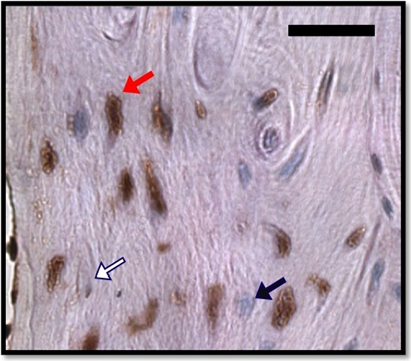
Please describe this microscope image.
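Cortical bone with osteocytes scattered singly in lacunae within pale pink-purple lamellar matrix. Most osteocytes are oval to spindle-shaped and stained brown, while a few show only blue-counterstained nuclei, and occasional lacunae are empty.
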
